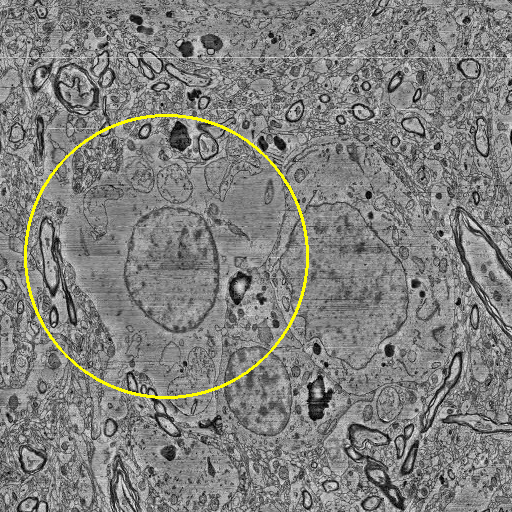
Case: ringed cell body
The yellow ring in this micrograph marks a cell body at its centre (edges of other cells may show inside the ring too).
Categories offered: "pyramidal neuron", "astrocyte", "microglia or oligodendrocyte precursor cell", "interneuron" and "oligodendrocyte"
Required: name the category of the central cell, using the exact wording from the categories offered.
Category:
astrocyte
